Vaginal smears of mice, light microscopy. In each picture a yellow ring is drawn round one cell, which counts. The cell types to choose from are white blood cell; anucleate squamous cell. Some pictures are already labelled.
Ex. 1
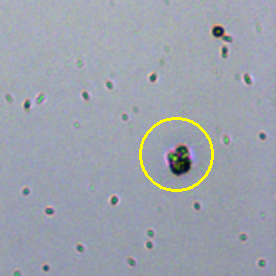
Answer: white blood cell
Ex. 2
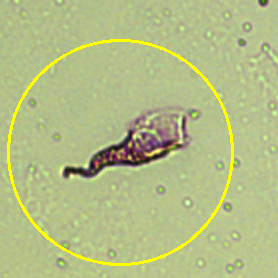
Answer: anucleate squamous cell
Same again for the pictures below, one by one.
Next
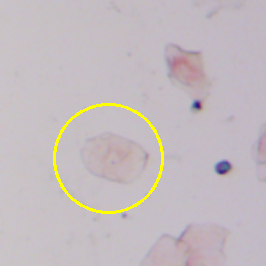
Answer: anucleate squamous cell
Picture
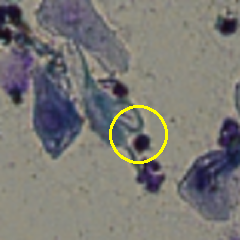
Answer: white blood cell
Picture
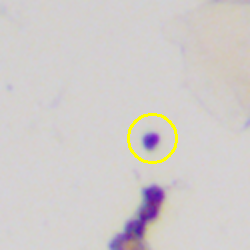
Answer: white blood cell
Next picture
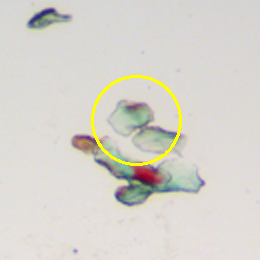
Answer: anucleate squamous cell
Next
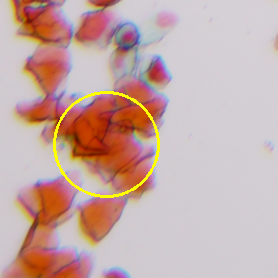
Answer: anucleate squamous cell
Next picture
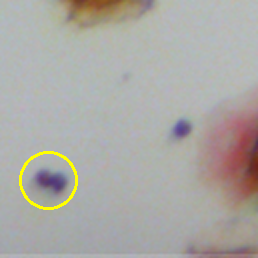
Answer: white blood cell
